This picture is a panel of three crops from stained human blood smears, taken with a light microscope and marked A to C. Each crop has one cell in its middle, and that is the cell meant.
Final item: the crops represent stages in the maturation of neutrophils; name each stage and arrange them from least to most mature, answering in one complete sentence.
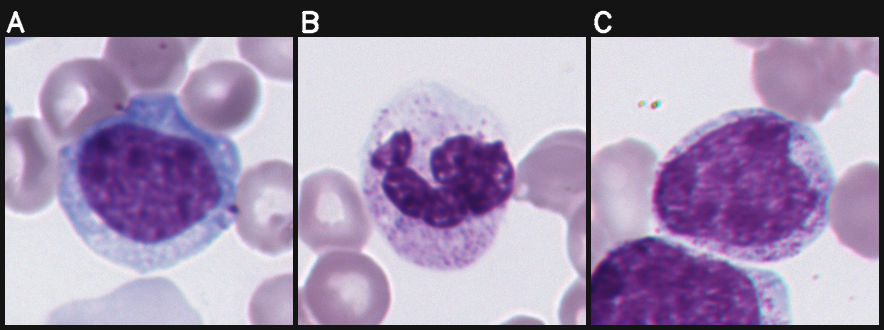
Ranking by maturity from lowest to highest gives crop A (a promyelocyte), crop C (a myelocyte) and crop B (a segmented neutrophil).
